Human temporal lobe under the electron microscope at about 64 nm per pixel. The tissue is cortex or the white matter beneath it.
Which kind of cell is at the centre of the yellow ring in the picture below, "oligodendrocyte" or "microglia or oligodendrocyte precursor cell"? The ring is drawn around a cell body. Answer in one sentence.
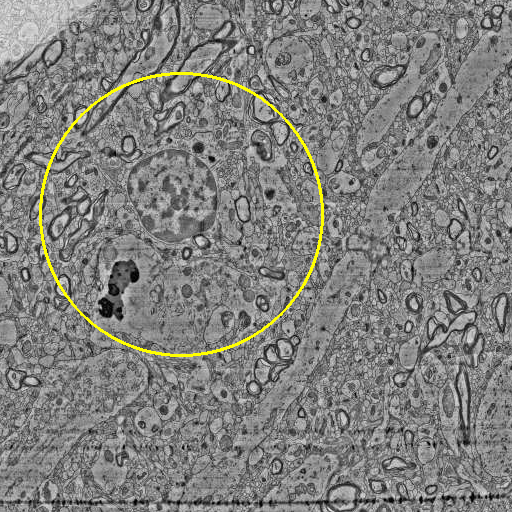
The ring's central cell is a microglial cell or oligodendrocyte precursor cell.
